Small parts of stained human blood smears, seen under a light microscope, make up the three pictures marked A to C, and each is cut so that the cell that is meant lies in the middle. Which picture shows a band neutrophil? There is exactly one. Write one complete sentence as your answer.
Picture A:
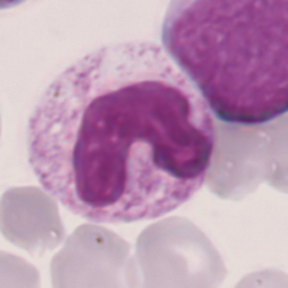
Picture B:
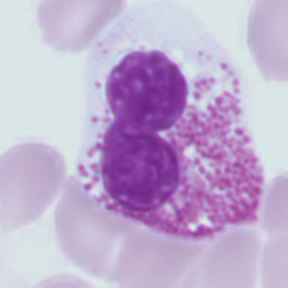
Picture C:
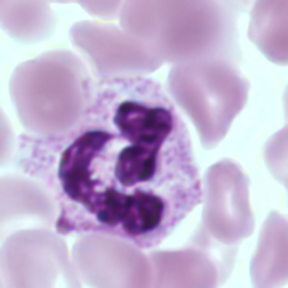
The cell in picture A is the band neutrophil.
